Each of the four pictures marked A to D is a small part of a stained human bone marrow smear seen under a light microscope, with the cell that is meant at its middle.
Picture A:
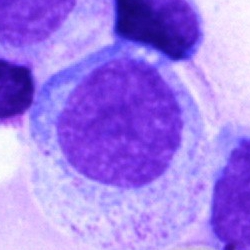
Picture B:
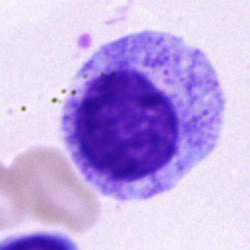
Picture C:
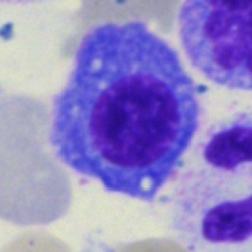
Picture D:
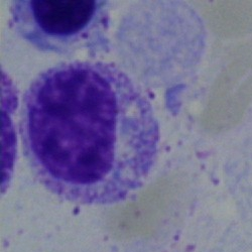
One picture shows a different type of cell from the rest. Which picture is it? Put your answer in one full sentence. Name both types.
The others show myelocytes, but picture C shows a plasma cell.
